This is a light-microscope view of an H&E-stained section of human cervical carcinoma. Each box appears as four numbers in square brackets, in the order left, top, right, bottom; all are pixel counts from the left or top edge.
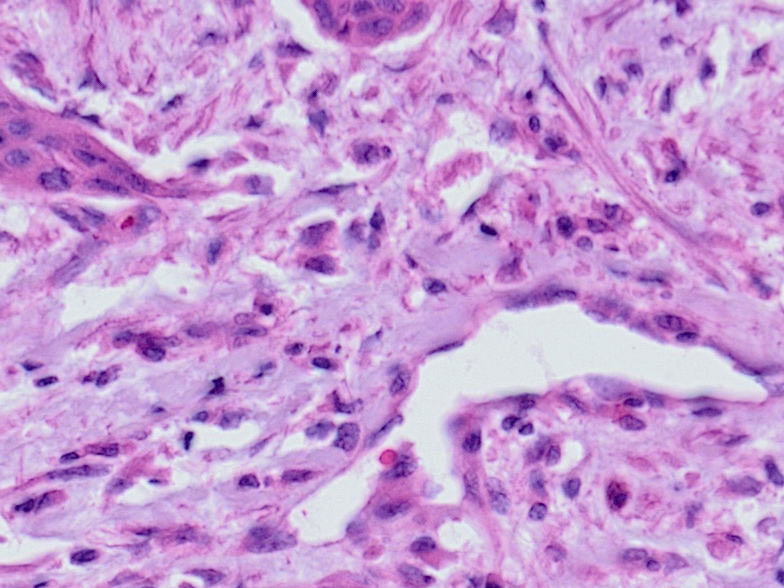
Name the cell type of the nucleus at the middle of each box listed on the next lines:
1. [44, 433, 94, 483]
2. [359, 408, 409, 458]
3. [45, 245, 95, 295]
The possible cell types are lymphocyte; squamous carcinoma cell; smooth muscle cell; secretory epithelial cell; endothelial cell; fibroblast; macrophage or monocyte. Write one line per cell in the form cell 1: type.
cell 1: lymphocyte
cell 2: endothelial cell
cell 3: fibroblast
